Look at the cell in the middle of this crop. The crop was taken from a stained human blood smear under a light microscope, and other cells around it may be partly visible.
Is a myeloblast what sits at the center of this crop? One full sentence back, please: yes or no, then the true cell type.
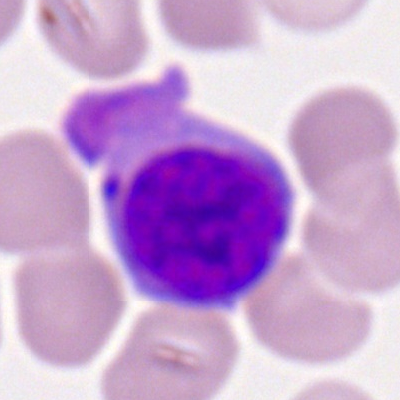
Yes, the cell positioned in the middle is a myeloblast.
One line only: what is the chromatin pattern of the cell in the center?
Just so you know, its chromatin is coarsely clumped.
